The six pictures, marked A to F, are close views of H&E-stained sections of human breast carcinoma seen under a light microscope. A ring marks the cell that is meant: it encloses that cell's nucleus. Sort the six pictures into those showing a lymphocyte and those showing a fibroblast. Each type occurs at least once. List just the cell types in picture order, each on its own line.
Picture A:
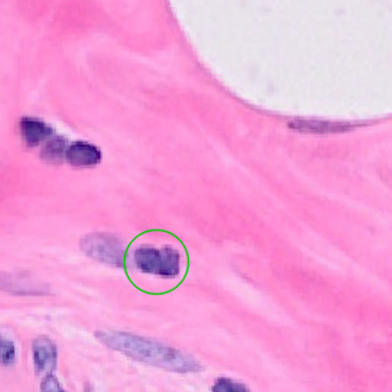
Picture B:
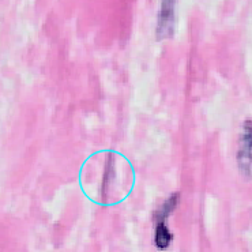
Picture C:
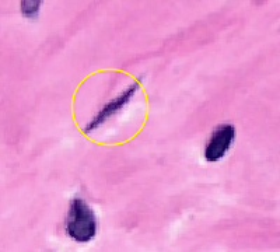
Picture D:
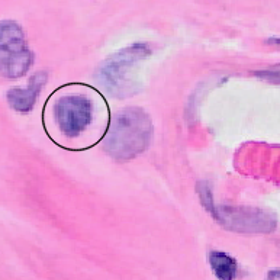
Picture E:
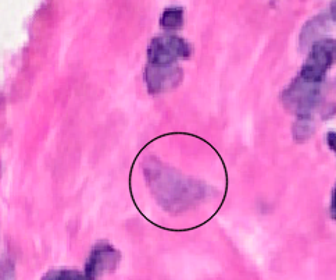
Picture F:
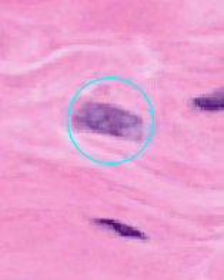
lymphocyte
fibroblast
fibroblast
lymphocyte
fibroblast
fibroblast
